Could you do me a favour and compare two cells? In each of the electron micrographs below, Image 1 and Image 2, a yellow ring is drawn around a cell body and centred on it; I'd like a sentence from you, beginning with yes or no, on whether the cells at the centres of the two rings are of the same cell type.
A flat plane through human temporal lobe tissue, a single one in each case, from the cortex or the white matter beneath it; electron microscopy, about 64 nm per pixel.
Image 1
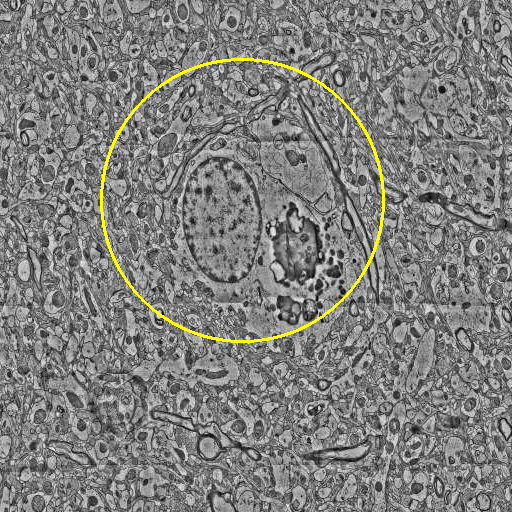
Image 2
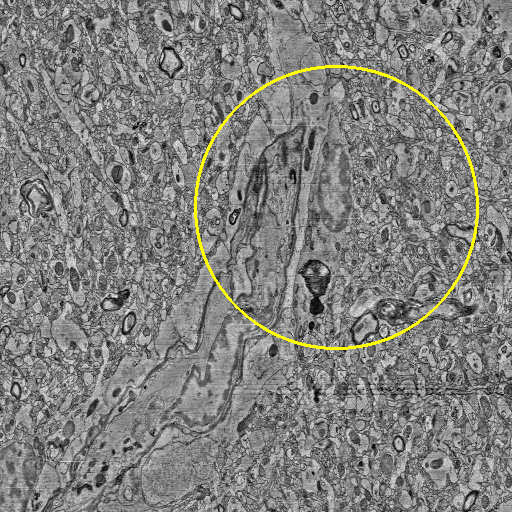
No, the two cells are of two cell types.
